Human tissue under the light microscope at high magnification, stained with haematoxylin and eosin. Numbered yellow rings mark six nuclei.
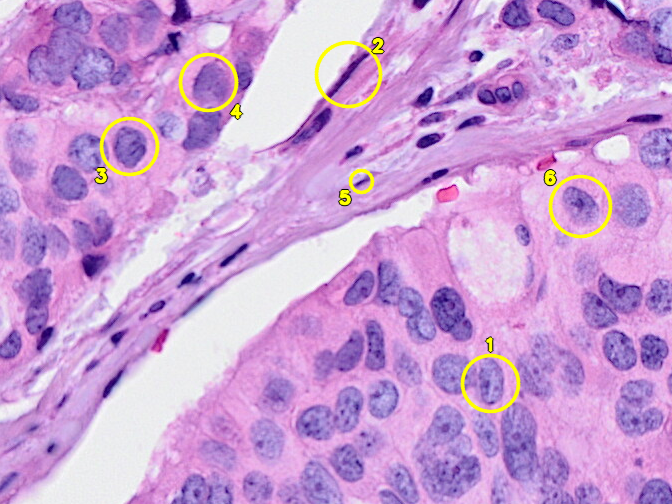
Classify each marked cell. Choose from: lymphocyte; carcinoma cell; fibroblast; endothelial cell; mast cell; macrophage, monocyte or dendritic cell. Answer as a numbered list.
1. carcinoma cell
2. fibroblast
3. carcinoma cell
4. carcinoma cell
5. fibroblast
6. carcinoma cell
